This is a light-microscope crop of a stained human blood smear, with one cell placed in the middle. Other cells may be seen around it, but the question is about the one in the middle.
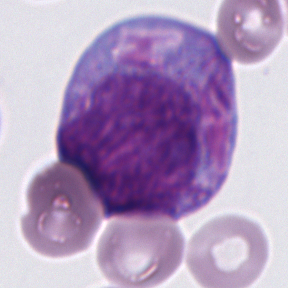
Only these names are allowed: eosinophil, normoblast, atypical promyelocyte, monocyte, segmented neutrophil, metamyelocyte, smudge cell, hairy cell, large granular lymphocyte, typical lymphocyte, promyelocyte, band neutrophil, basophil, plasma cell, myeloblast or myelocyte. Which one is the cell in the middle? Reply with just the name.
atypical promyelocyte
